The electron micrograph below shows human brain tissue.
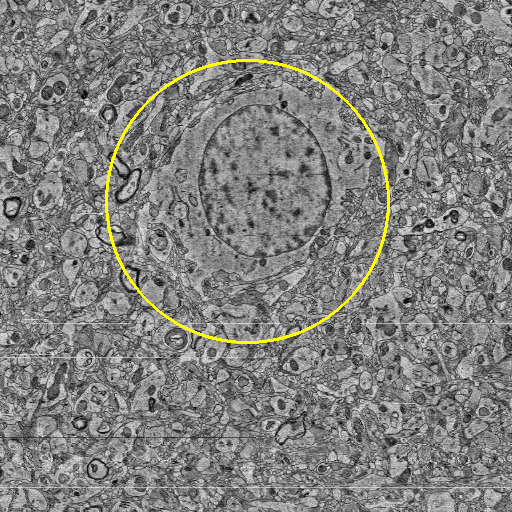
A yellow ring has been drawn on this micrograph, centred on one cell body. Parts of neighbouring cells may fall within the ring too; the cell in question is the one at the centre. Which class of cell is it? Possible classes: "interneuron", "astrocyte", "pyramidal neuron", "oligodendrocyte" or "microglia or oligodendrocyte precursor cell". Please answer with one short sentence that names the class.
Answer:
In the centre of the ring sits an astrocyte.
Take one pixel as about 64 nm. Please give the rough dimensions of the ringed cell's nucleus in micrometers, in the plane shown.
In this plane the nucleus spans approximately 10 by 8 micrometers.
